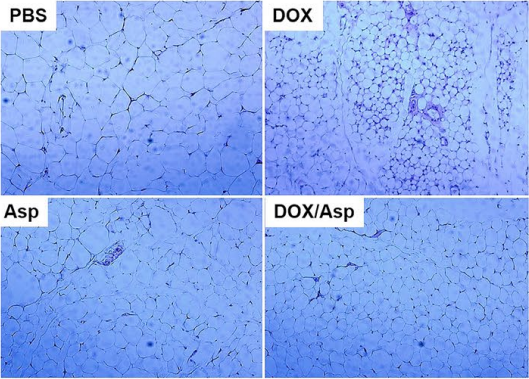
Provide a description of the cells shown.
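These are sections of fat, made of adipocytes that appear as large, empty polygonal spaces. Each adipocyte is outlined only by a thin dark rim, the stored lipid having left a clear space inside. The cells fit together edge to edge like a honeycomb, with occasional small vessels between them. In one field the adipocytes are much smaller and more crowded, with more tissue between them, than in the others. Nuclei are seldom visible, lying flattened in the thin rims.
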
